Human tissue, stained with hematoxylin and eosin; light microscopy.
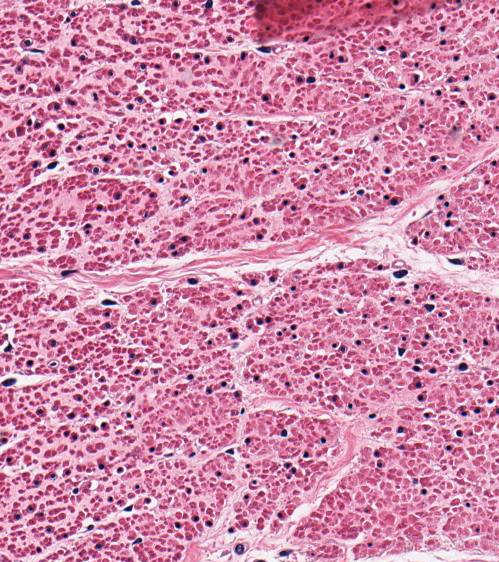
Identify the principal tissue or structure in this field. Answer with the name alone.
smooth muscle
